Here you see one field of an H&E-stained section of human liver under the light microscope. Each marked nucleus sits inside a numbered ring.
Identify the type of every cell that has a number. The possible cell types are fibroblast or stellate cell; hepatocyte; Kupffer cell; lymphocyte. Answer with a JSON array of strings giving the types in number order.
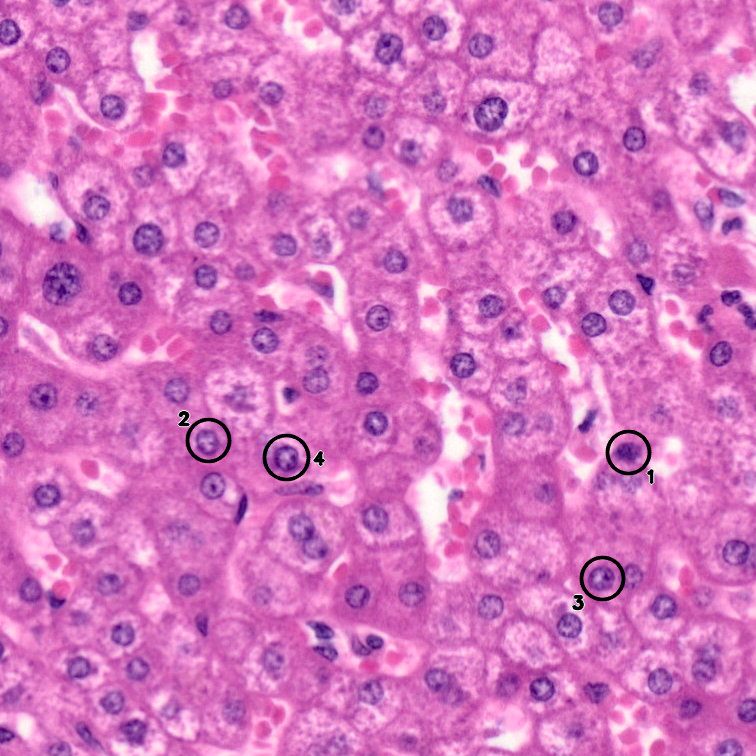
["fibroblast or stellate cell", "hepatocyte", "hepatocyte", "hepatocyte"]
